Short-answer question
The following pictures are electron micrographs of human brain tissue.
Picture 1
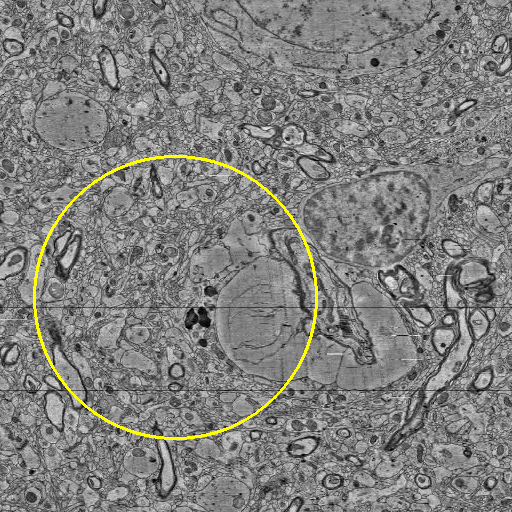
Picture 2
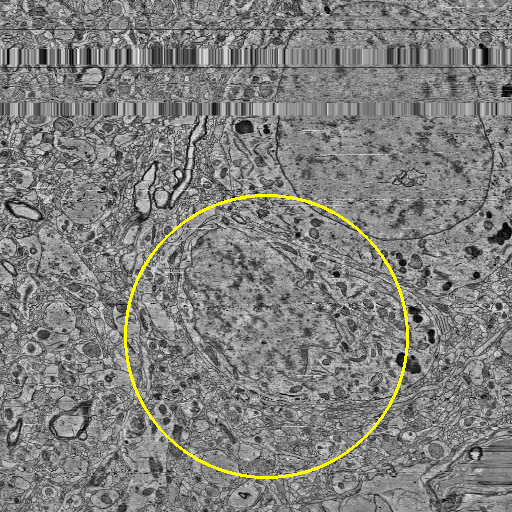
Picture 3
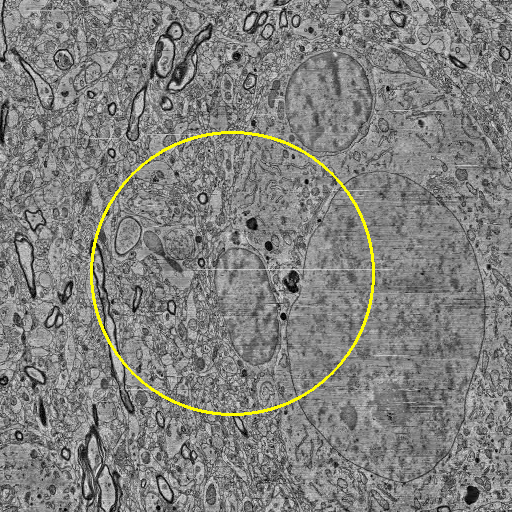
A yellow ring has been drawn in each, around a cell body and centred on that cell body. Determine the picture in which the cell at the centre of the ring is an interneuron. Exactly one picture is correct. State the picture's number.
2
